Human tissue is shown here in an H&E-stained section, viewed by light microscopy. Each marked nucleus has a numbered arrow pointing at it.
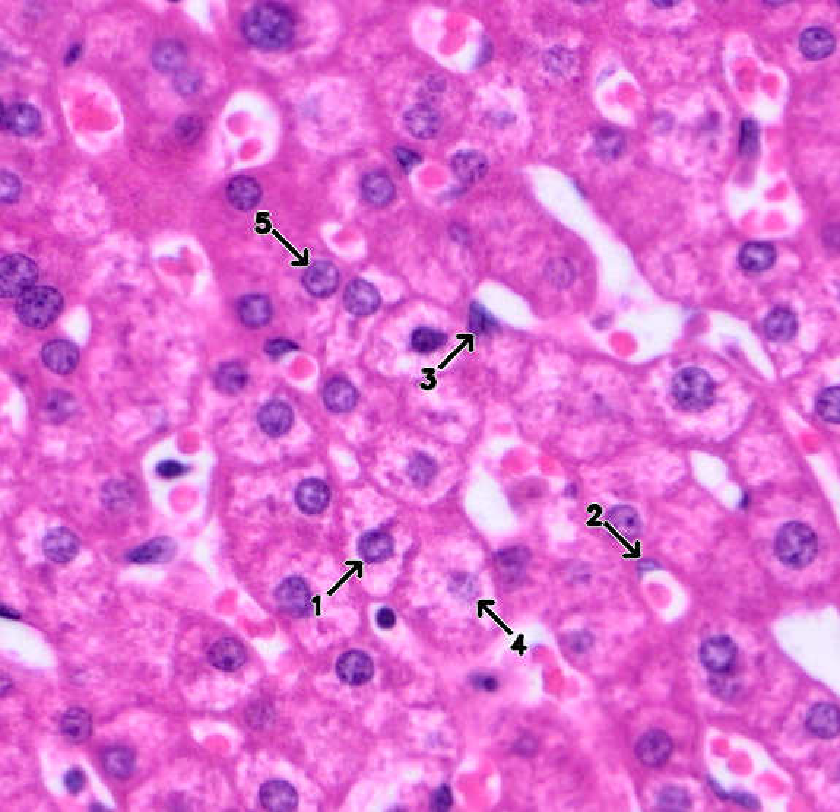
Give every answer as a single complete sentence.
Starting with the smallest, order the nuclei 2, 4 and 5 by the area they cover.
Smallest first, the nuclei run 2, 4, 5.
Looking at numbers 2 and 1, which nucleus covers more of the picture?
Nucleus 1 is the larger one, covering about 2.5 times the area of nucleus 2.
